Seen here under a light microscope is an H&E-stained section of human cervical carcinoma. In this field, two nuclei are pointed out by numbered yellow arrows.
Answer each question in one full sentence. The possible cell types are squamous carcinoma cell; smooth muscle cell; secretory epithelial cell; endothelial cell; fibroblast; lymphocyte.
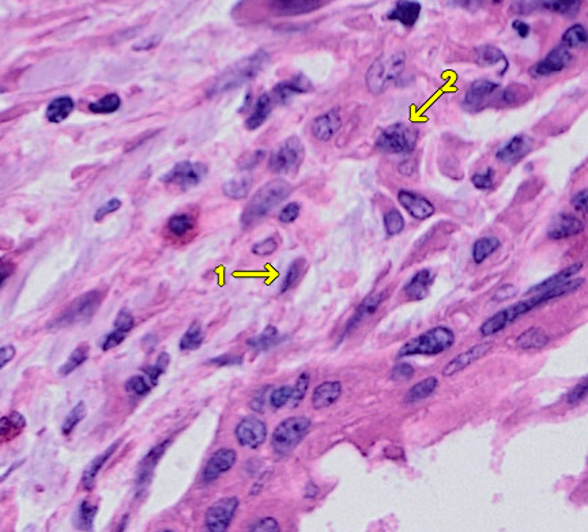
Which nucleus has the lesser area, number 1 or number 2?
The smaller nucleus is 1, and 2 covers roughly 2.5 times its area.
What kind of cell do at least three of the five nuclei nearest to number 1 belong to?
Around number 1, most of the five nearest nuclei are those of fibroblasts.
